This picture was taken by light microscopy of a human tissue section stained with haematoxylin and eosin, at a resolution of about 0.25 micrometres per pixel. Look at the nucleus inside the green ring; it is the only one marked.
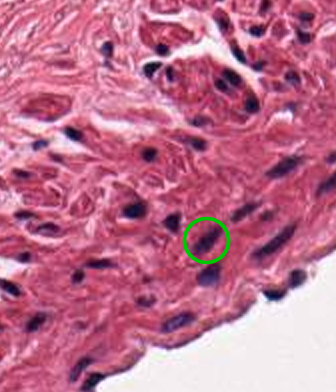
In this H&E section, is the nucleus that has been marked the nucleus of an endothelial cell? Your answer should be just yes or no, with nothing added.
no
